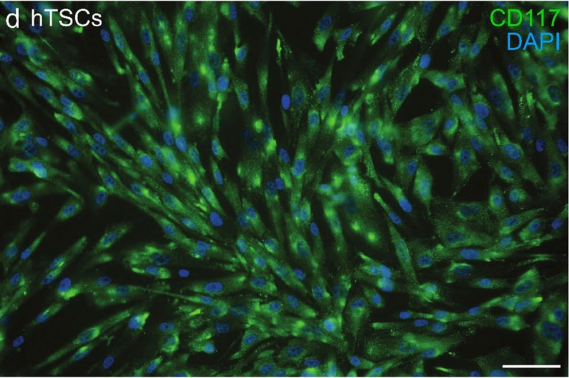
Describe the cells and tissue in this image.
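Most cells are elongated and spindle-shaped, some with two or three tapering extensions, and they lie side by side in loose, partly parallel streams that sweep across the field. Each cell carries a single oval blue nucleus near its middle. The green signal fills the cytoplasm along the whole length of the cell, and it is brightest in a patch just beside the nucleus. Between the streams there are dark gaps where no cells lie, so the layer is not yet fully closed.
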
